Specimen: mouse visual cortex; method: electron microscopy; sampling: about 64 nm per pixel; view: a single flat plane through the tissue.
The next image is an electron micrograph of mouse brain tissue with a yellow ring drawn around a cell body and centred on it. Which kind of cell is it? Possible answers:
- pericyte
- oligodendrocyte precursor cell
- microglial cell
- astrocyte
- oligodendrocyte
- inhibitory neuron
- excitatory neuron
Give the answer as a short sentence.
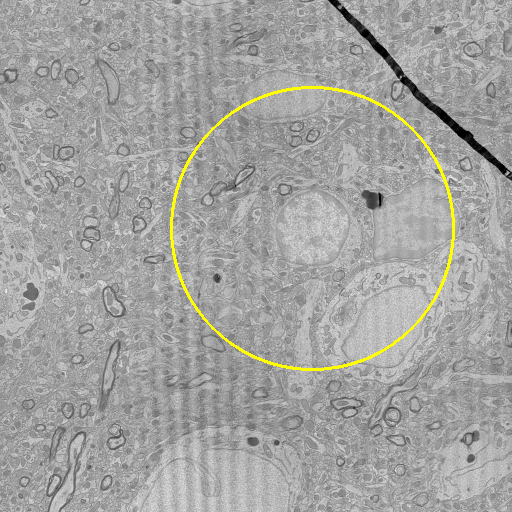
In the ring's centre is an oligodendrocyte.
